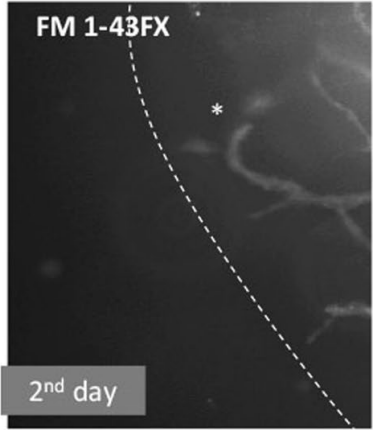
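Thin fluorescent axons appear as bright, curving and branching threads against a dark background. The threads lie to the right of a dashed curved line, while the area to the left of the line is dark and free of fibres. One axon ends close to the dashed line, and a few small bright dots are scattered in the field.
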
